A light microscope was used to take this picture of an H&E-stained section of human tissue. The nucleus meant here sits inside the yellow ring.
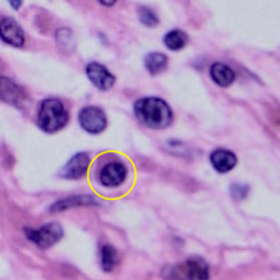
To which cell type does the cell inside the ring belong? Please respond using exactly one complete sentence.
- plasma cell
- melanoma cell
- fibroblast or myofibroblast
For the purposes of cell typing, the cell inside the ring is categorized as a plasma cell.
